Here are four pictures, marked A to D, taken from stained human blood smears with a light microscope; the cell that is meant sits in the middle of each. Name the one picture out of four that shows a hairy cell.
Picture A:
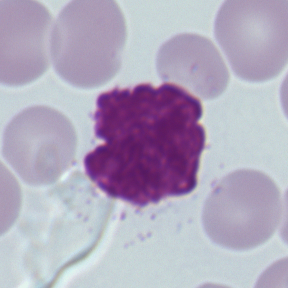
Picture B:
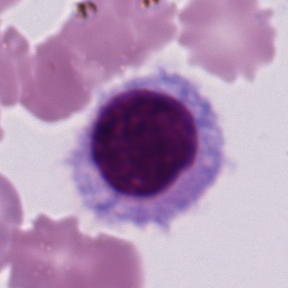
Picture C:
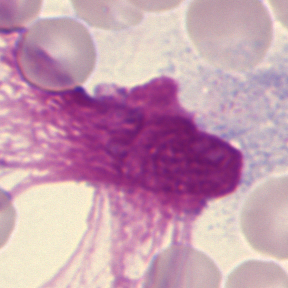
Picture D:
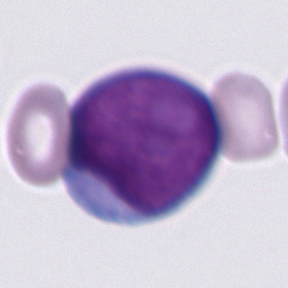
B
